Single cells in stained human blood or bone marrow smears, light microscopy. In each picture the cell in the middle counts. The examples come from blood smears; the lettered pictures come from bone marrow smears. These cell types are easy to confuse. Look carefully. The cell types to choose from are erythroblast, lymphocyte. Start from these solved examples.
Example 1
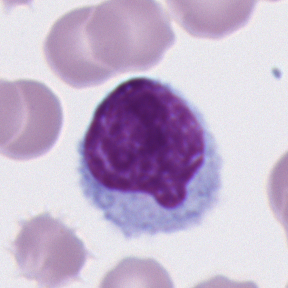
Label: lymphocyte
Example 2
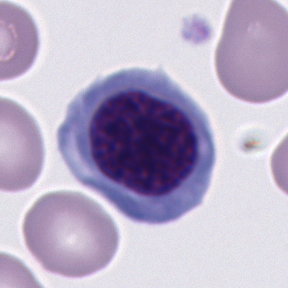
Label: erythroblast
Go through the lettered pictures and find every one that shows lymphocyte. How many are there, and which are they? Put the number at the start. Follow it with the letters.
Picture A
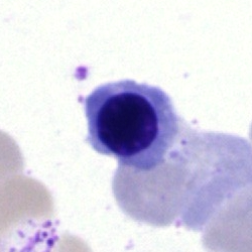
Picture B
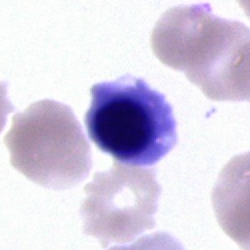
0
